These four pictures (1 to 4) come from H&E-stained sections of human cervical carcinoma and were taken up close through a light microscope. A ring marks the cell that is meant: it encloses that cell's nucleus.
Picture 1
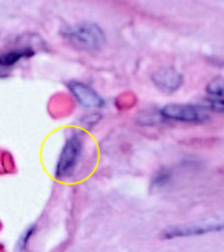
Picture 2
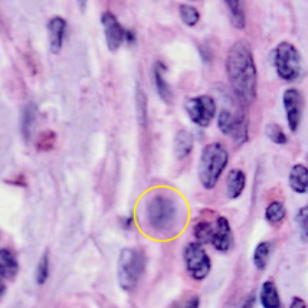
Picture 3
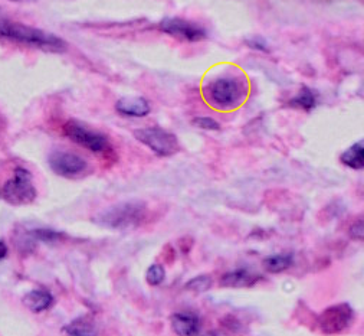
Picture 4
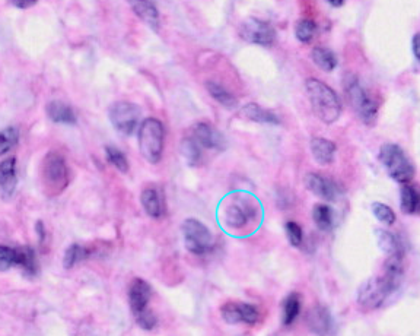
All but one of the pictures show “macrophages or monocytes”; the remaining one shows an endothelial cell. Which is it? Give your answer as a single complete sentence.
The endothelial cell is the one in picture 1.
